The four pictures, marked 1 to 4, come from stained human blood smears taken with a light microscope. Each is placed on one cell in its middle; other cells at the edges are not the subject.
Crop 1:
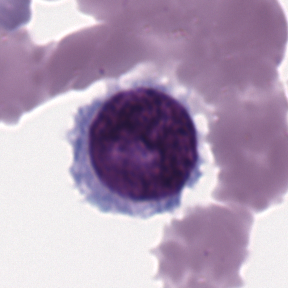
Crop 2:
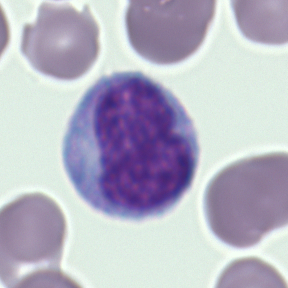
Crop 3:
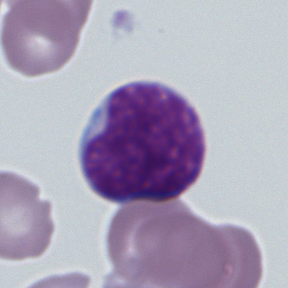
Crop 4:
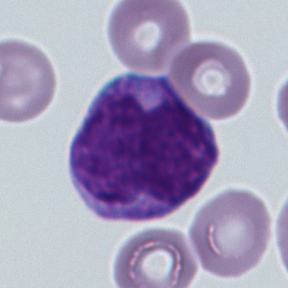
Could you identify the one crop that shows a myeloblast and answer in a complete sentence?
Crop 3, of the crops presented, is the one showing a myeloblast.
